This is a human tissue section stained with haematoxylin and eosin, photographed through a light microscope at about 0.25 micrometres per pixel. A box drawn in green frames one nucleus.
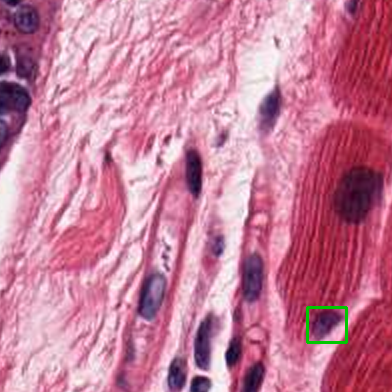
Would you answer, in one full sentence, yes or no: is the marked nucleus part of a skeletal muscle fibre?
Yes, the marked nucleus is assigned to a skeletal muscle fibre.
